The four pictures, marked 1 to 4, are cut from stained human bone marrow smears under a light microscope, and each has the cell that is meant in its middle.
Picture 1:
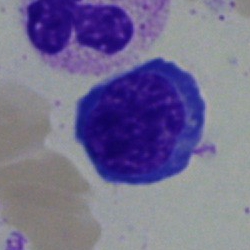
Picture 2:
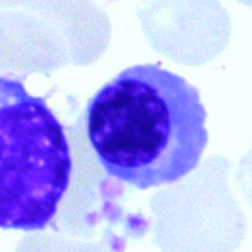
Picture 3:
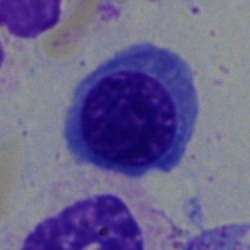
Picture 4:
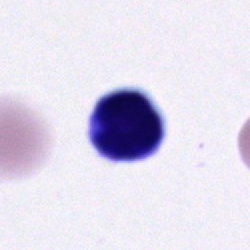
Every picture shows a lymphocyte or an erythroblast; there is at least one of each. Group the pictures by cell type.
1: erythroblast
2: erythroblast
3: erythroblast
4: lymphocyte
